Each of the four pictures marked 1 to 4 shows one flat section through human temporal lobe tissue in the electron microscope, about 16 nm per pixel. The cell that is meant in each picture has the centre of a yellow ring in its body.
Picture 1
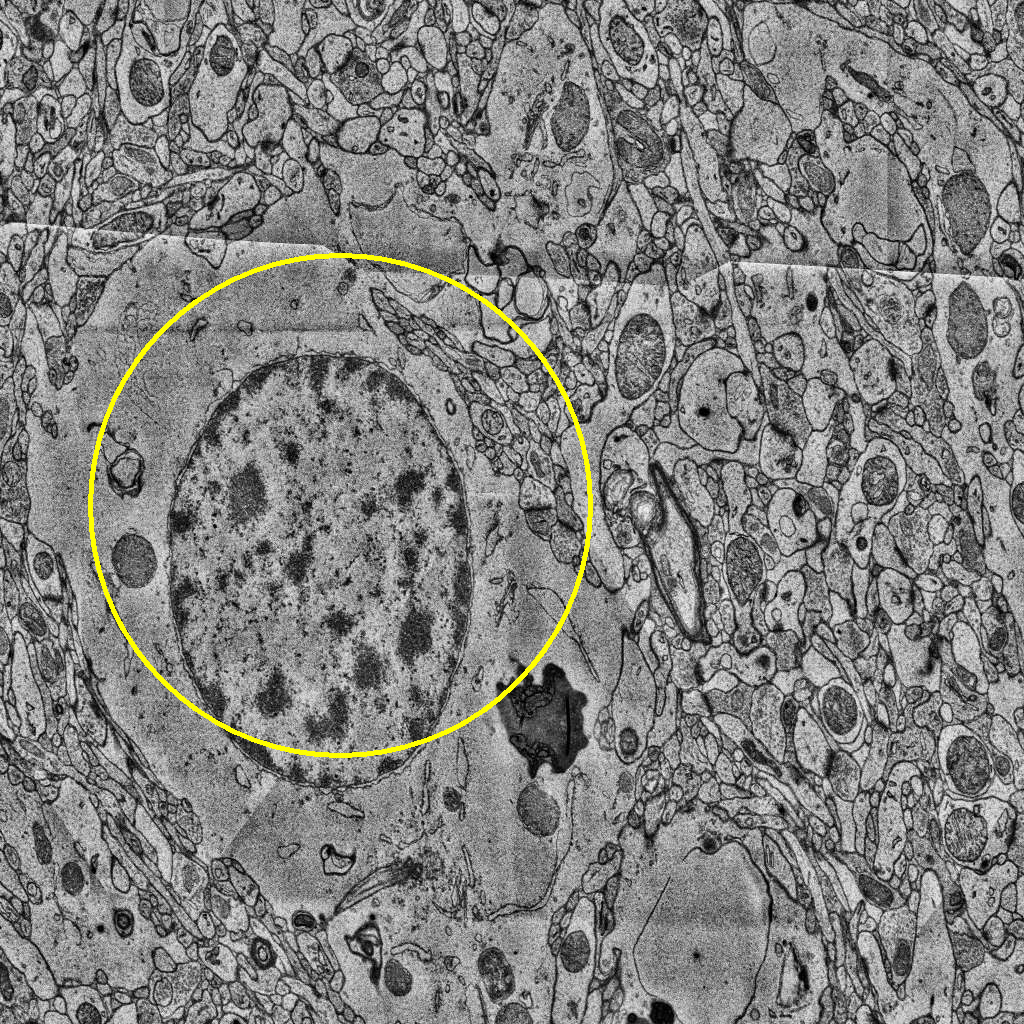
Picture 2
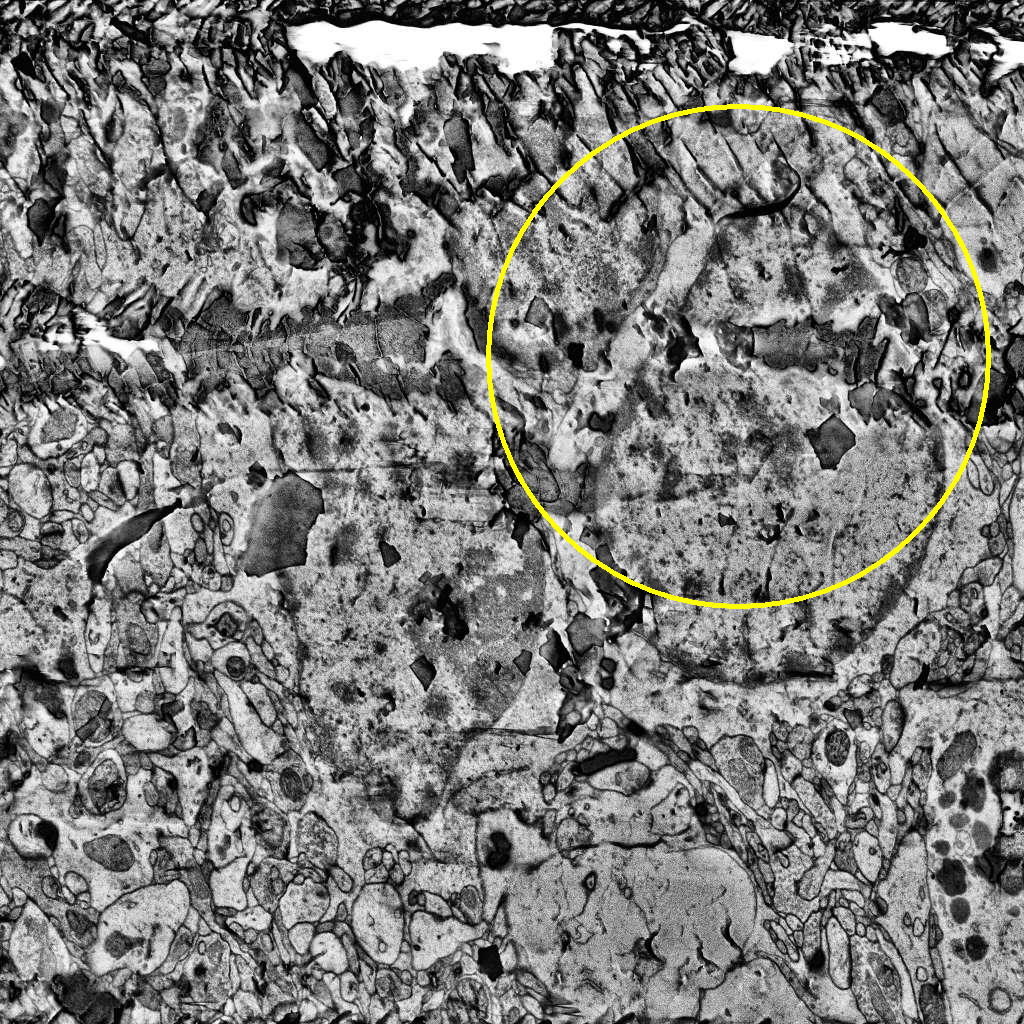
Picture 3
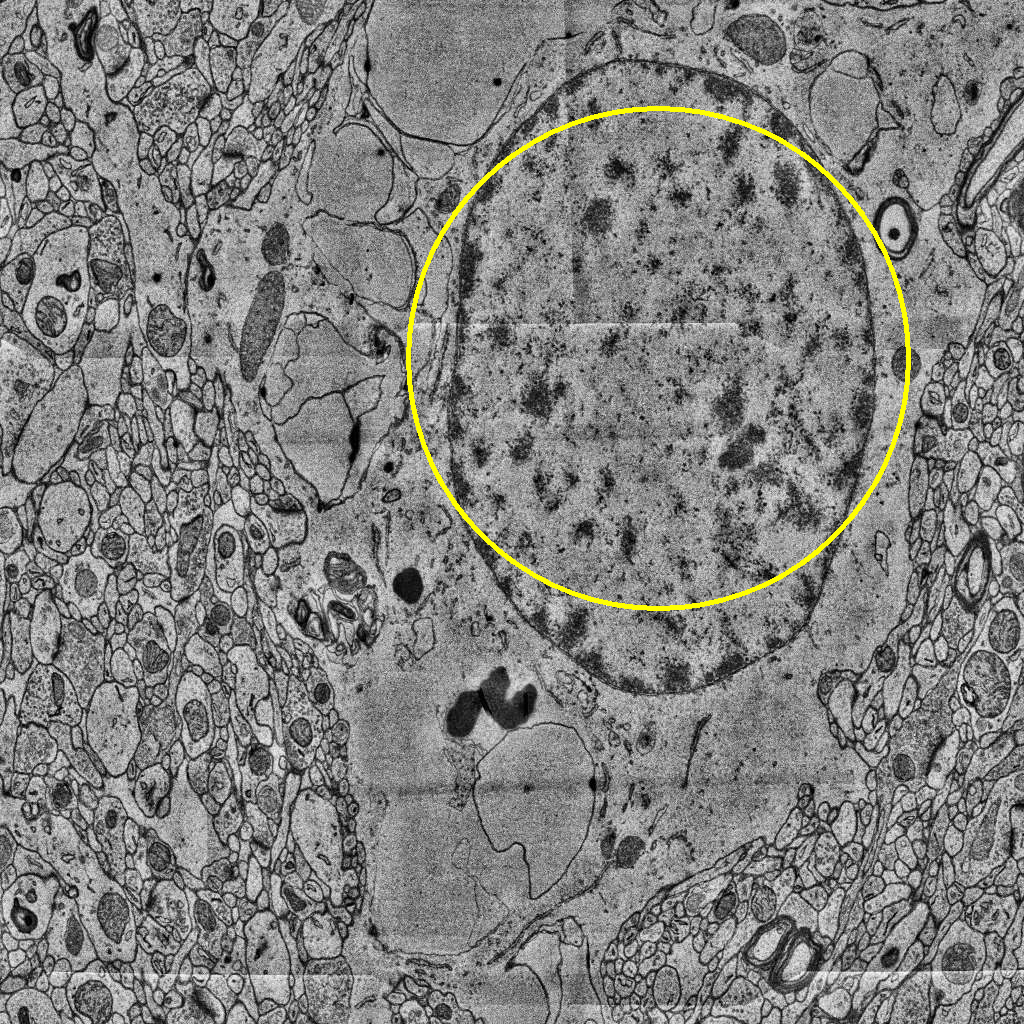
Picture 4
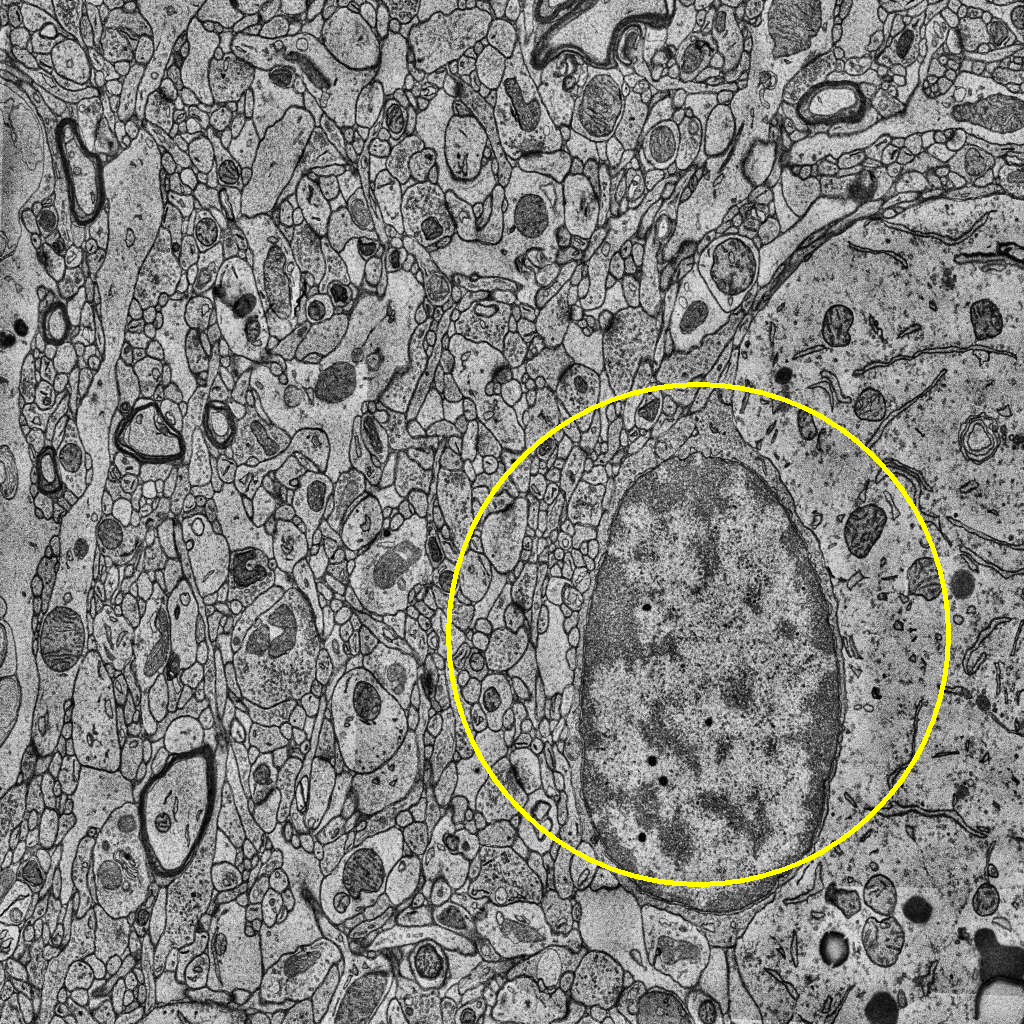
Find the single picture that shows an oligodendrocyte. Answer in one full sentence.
It is picture 4 that shows the oligodendrocyte.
